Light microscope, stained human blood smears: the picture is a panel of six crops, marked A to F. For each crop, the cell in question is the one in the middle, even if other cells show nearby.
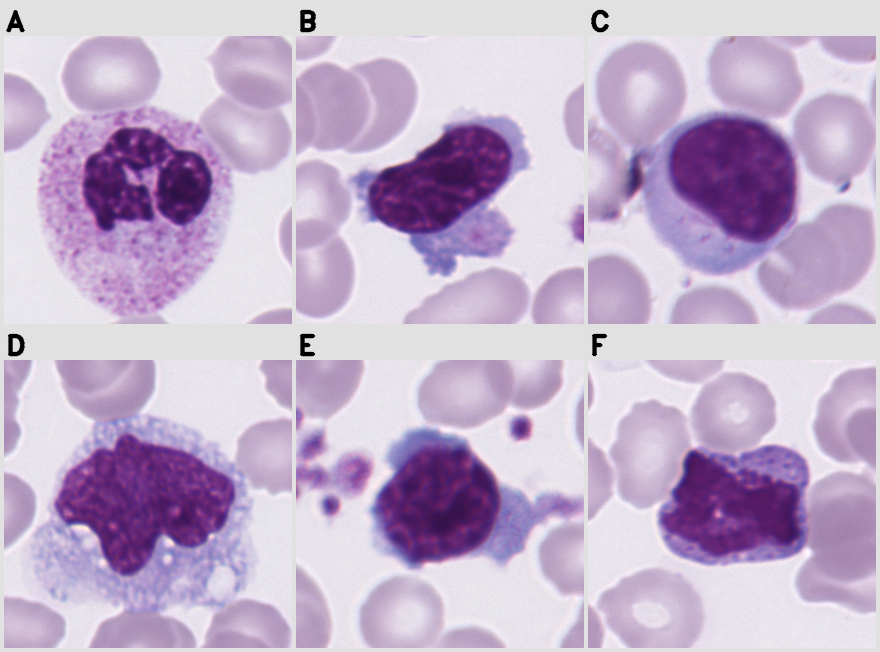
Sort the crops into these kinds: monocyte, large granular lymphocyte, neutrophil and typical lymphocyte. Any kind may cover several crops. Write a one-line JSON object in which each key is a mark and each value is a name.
{"A": "neutrophil", "B": "typical lymphocyte", "C": "large granular lymphocyte", "D": "monocyte", "E": "typical lymphocyte", "F": "typical lymphocyte"}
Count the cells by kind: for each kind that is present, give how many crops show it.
typical lymphocyte: 3
neutrophil: 1
large granular lymphocyte: 1
monocyte: 1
